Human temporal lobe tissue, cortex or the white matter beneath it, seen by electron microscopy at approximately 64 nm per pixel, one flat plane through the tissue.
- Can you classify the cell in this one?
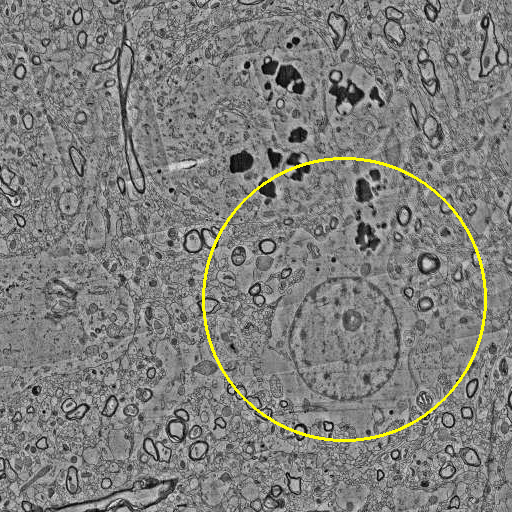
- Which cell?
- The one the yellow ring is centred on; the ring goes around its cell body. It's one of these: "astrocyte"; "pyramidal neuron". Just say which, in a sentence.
The cell body in the ring belongs to an astrocyte.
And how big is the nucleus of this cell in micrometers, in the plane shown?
About 8 micrometres across in this plane.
